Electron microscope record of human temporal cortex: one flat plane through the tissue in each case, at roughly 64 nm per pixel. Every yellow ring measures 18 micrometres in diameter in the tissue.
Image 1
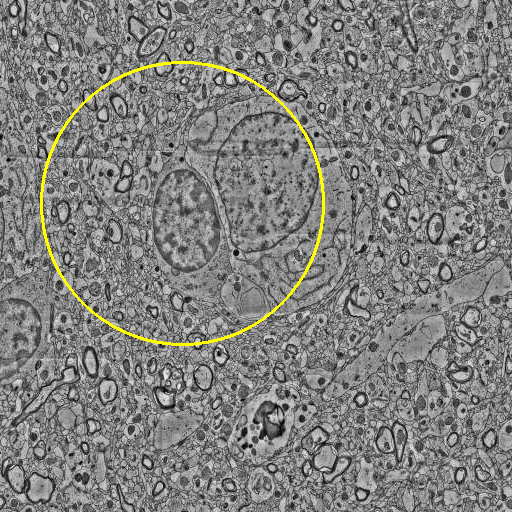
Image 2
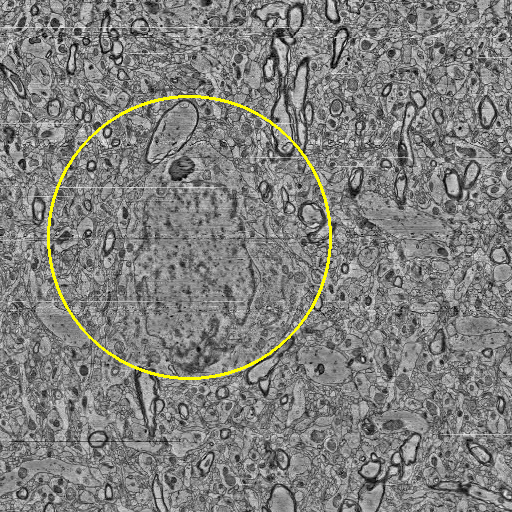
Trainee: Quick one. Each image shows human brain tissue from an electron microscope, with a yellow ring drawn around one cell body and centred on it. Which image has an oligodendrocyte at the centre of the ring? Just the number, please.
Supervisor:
1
